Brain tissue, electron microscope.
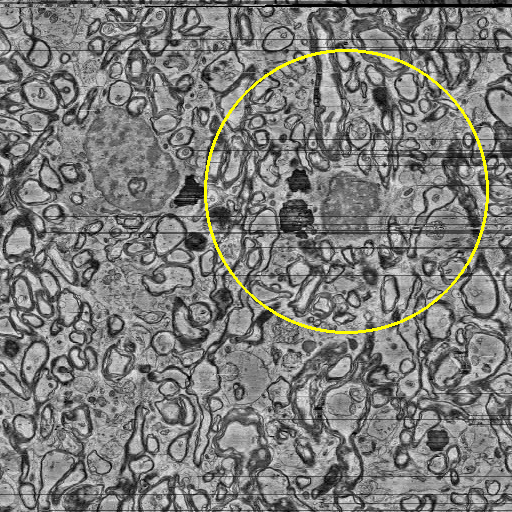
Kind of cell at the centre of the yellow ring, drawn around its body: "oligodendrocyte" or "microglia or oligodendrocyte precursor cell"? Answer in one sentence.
The ring's centre falls on an oligodendrocyte.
